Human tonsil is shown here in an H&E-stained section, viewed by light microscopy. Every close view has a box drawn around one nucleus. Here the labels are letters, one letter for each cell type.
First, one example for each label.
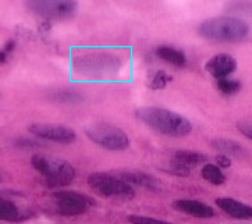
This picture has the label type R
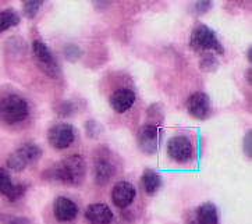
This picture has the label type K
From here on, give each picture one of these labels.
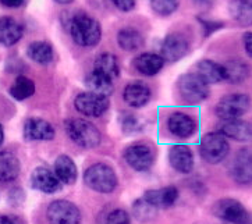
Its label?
type K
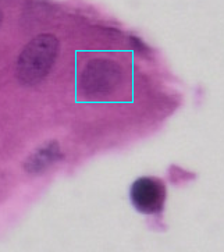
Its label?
type R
